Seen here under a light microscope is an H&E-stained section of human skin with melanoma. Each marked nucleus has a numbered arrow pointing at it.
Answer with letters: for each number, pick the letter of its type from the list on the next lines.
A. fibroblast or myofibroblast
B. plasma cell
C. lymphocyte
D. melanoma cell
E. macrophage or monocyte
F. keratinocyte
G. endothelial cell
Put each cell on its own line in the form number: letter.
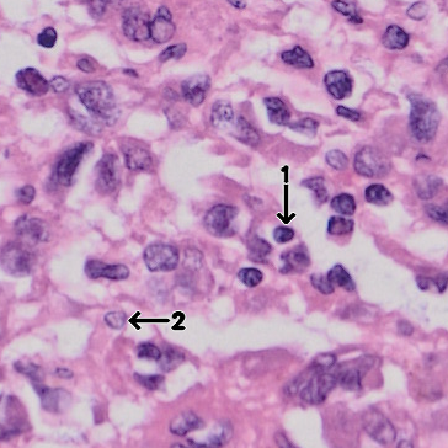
1: C
2: E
